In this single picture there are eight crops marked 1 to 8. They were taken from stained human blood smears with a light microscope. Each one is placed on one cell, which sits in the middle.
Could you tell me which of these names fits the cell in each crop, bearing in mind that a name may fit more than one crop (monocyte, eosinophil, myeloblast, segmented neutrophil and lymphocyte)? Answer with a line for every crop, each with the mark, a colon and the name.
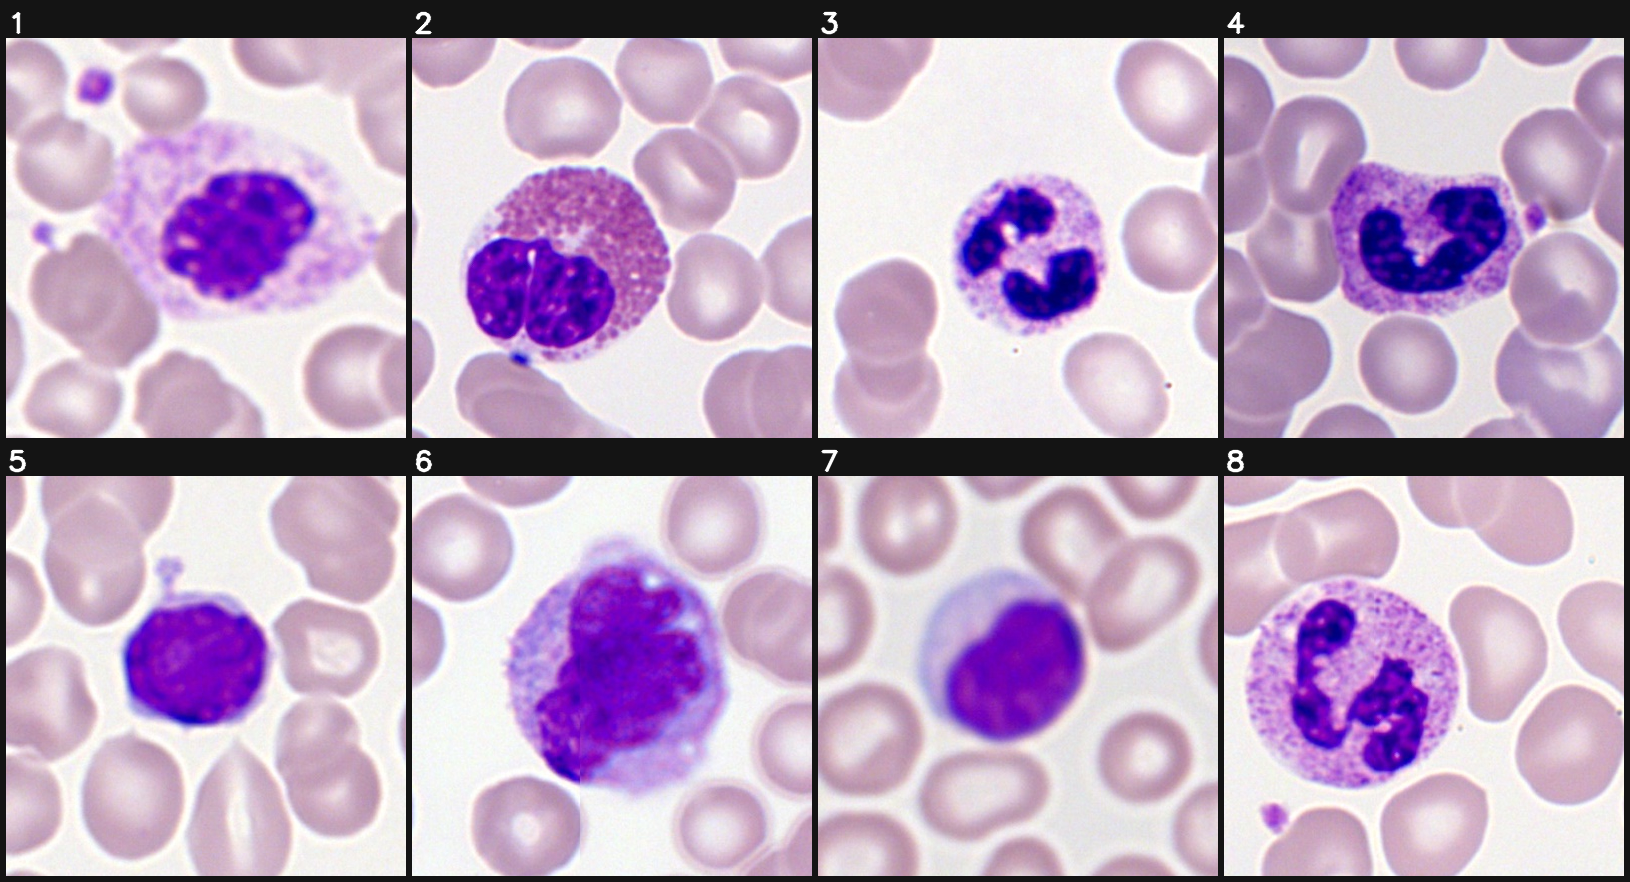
1: segmented neutrophil
2: eosinophil
3: segmented neutrophil
4: segmented neutrophil
5: lymphocyte
6: monocyte
7: lymphocyte
8: segmented neutrophil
